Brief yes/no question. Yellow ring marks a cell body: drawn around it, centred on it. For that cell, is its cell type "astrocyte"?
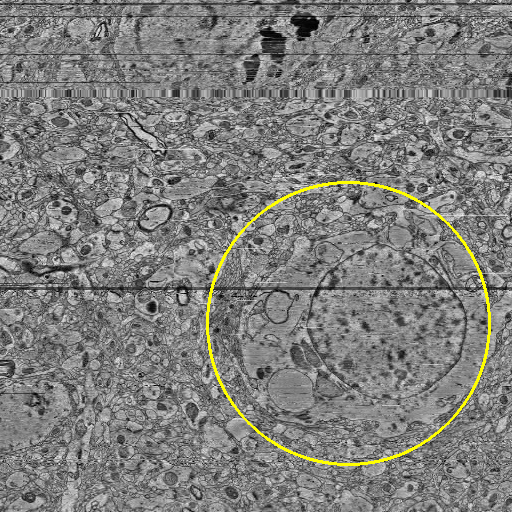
Yes, that is the cell type.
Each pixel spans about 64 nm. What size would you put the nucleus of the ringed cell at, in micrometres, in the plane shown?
Approximately 10 micrometers across in this plane.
